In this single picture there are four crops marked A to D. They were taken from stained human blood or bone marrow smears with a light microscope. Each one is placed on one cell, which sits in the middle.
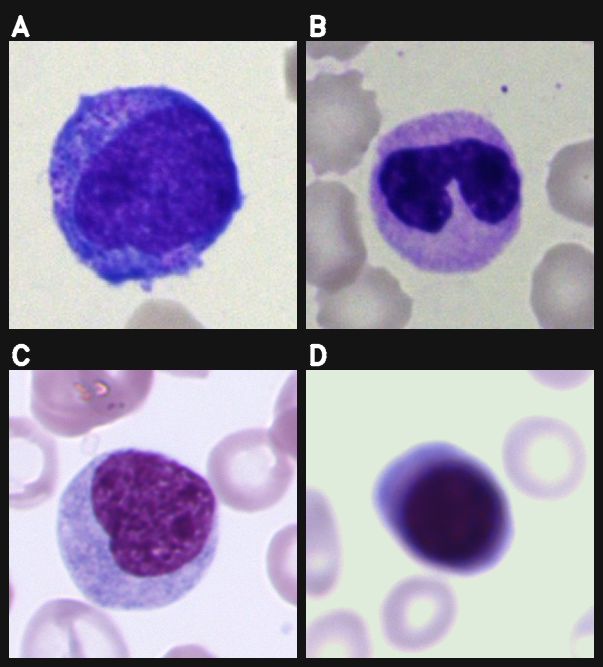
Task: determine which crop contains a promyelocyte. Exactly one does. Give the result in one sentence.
Crop A is the single crop that shows a promyelocyte.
